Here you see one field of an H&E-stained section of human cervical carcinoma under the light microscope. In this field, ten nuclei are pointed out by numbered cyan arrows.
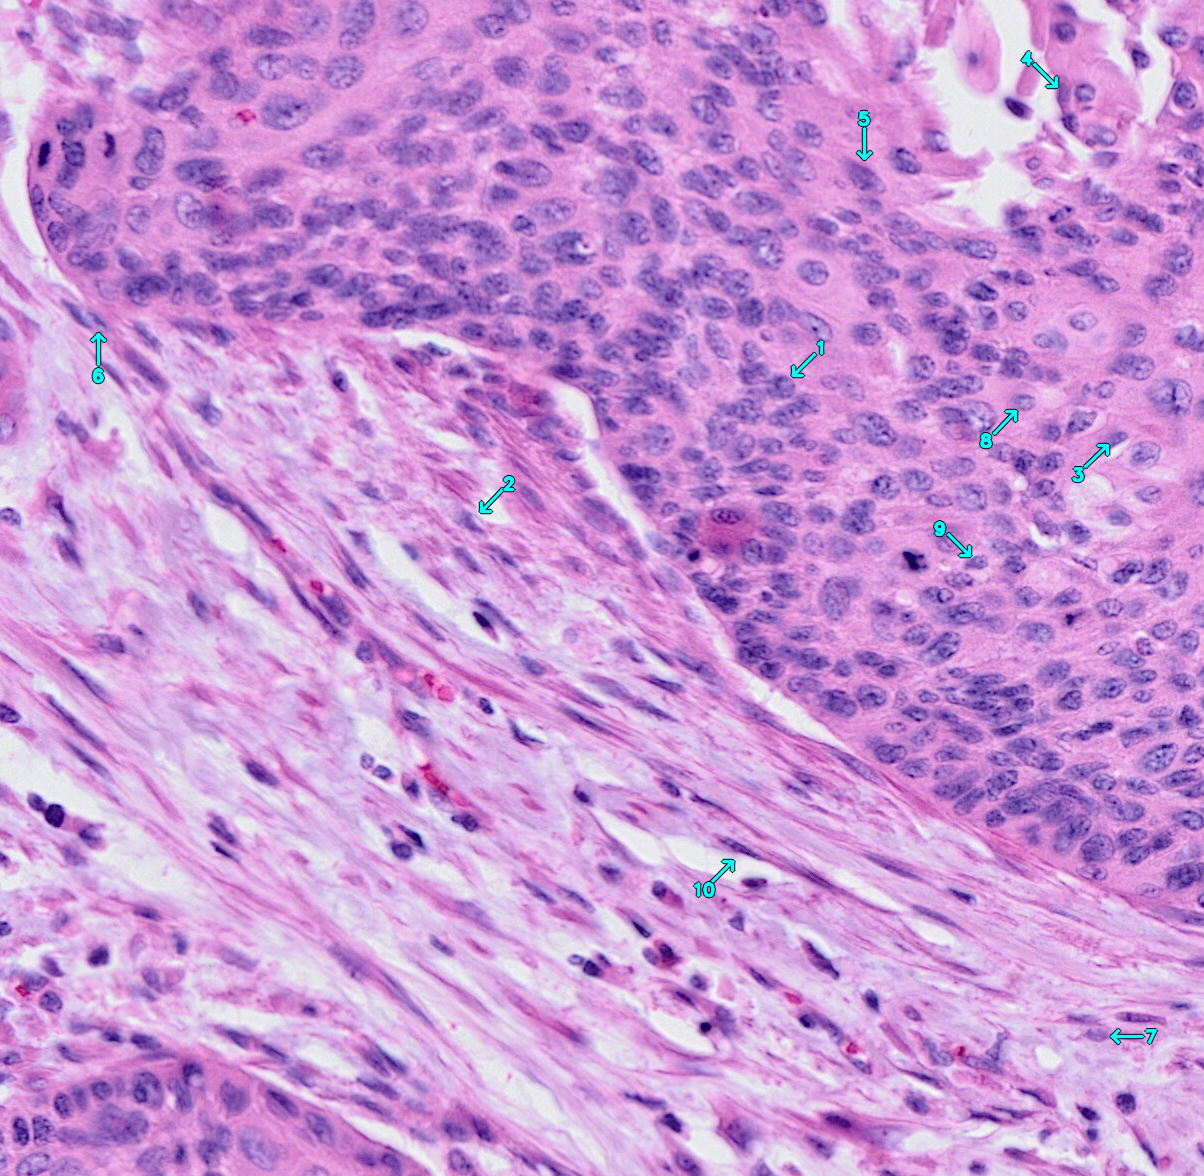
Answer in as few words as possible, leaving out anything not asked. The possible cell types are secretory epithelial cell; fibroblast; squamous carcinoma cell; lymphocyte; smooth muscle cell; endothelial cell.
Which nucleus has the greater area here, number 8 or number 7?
8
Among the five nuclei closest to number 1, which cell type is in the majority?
squamous carcinoma cell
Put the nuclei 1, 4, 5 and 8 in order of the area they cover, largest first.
5, 1, 8, 4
